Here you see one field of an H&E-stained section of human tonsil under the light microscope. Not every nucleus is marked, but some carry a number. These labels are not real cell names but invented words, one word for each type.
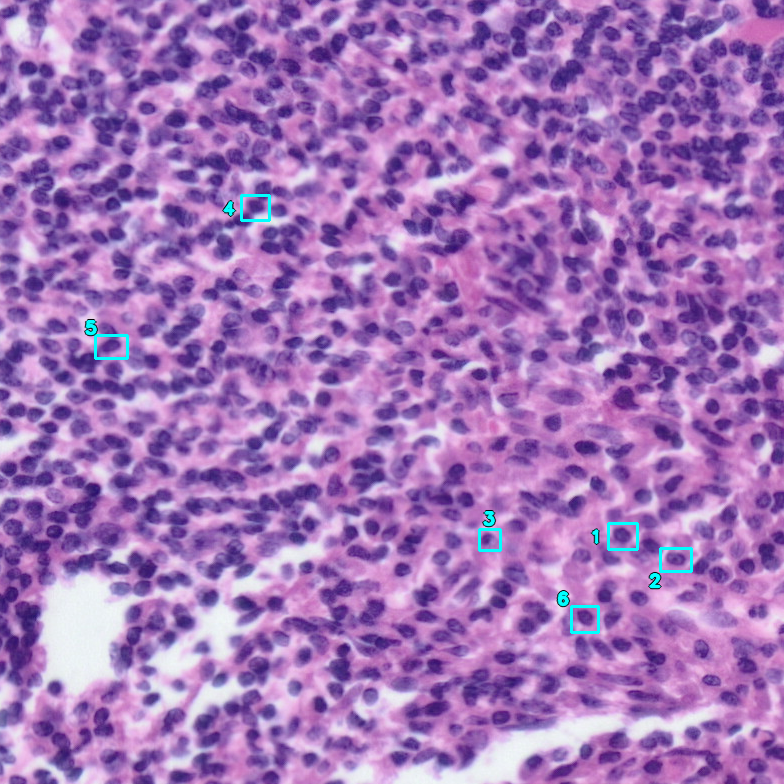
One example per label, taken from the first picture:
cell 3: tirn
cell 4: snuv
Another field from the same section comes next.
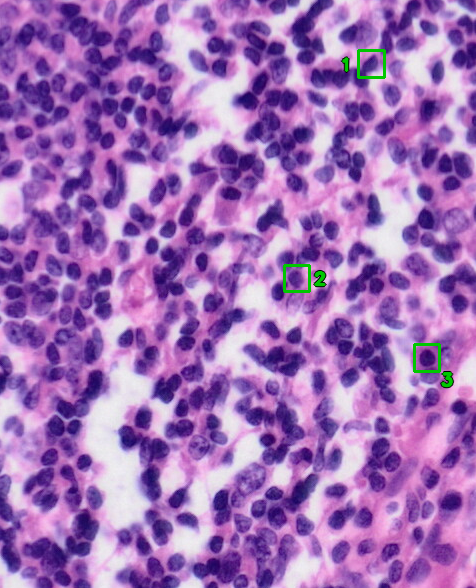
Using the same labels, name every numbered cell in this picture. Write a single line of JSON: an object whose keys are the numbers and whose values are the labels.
{"1": "snuv", "2": "snuv", "3": "tirn"}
